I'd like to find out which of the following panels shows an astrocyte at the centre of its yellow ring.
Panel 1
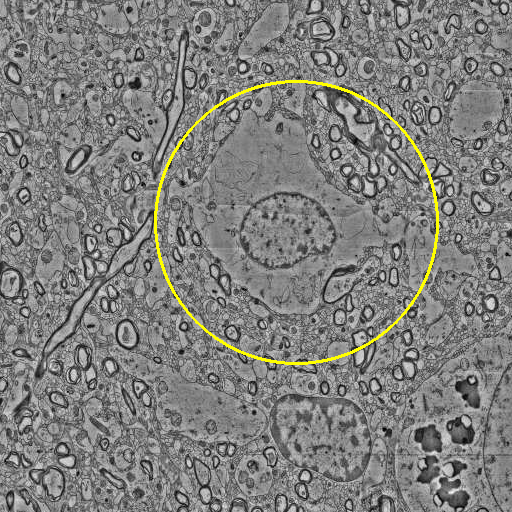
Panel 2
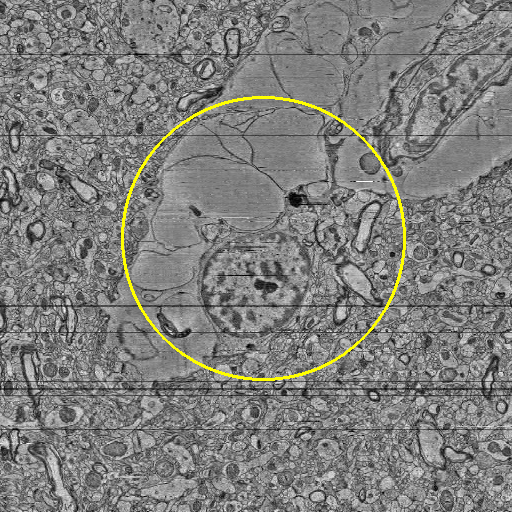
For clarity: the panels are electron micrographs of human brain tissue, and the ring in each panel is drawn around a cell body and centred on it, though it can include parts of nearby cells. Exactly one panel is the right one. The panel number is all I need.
1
